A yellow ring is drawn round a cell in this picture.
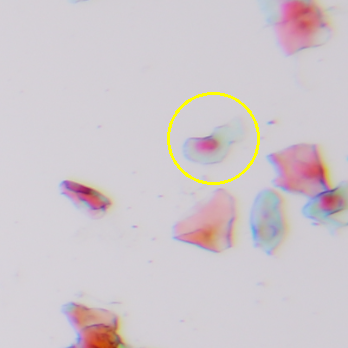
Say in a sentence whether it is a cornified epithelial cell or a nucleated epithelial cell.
The cell in the ring is a nucleated epithelial cell.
